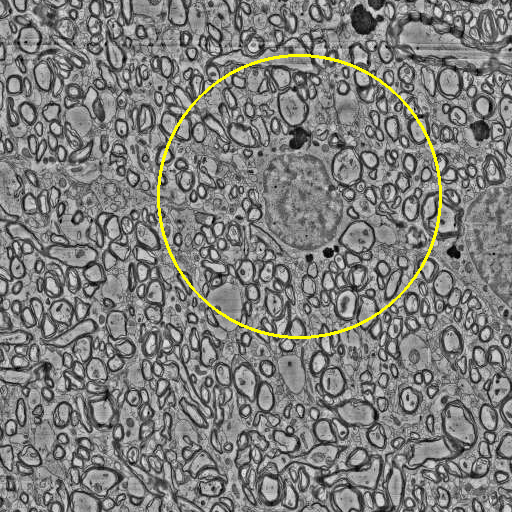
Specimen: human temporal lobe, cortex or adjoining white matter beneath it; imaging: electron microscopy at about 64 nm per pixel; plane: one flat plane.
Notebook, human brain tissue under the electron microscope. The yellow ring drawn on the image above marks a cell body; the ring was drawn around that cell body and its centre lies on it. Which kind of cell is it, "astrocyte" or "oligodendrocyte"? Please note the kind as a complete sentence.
The marked cell body is that of an oligodendrocyte.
